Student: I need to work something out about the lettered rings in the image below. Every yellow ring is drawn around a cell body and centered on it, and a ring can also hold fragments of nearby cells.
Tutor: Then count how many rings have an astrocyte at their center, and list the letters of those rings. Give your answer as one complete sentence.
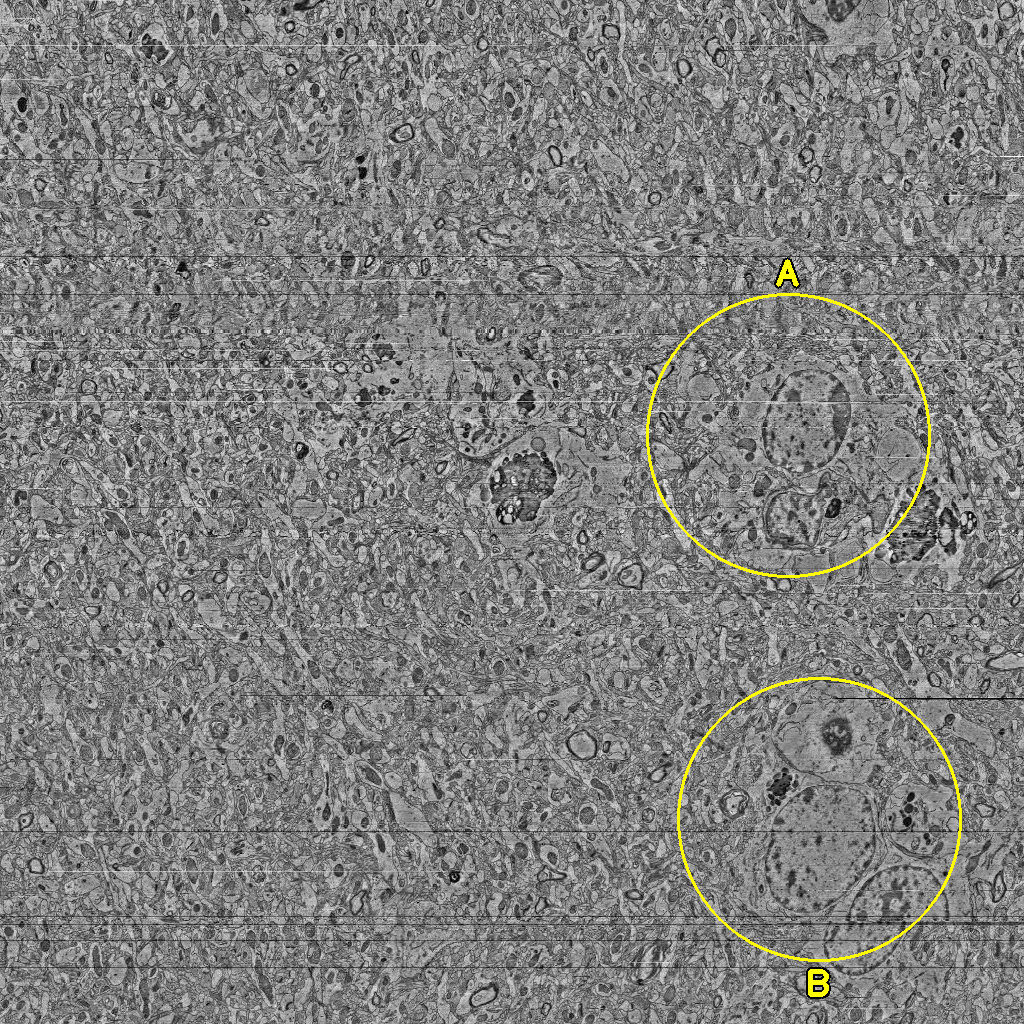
Taken together, the rings with the letters A and B number two, each centred on an astrocyte.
